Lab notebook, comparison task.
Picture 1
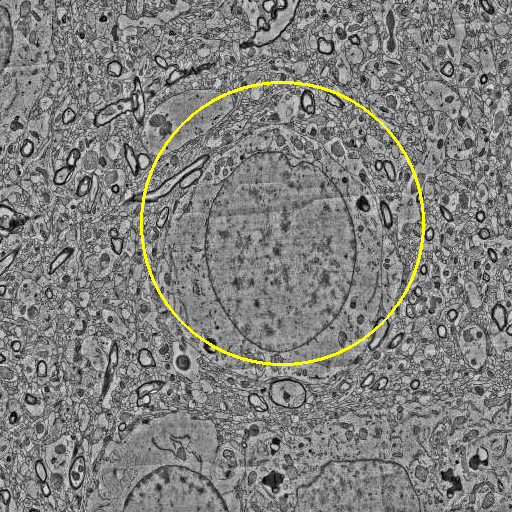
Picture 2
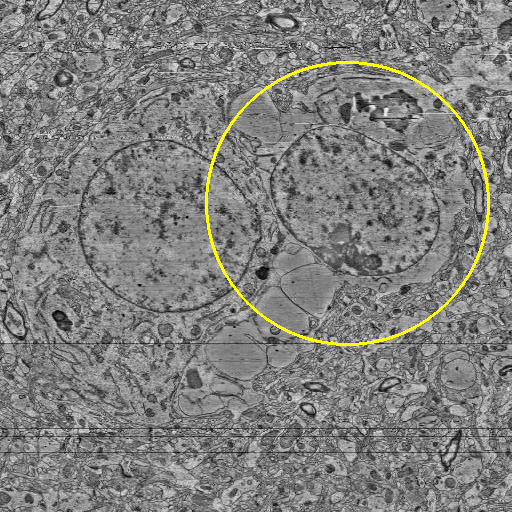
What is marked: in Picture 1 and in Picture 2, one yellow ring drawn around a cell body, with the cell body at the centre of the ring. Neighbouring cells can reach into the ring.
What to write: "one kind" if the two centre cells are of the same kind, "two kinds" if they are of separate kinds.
two kinds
